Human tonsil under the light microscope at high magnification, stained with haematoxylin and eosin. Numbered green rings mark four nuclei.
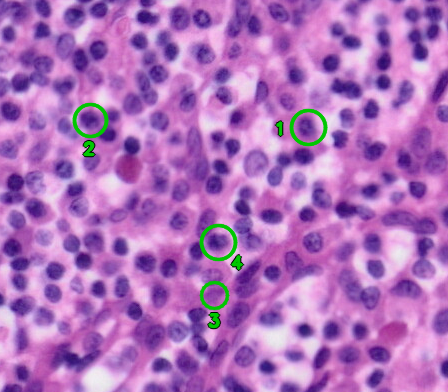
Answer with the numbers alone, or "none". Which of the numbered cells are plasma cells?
1, 2, 4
